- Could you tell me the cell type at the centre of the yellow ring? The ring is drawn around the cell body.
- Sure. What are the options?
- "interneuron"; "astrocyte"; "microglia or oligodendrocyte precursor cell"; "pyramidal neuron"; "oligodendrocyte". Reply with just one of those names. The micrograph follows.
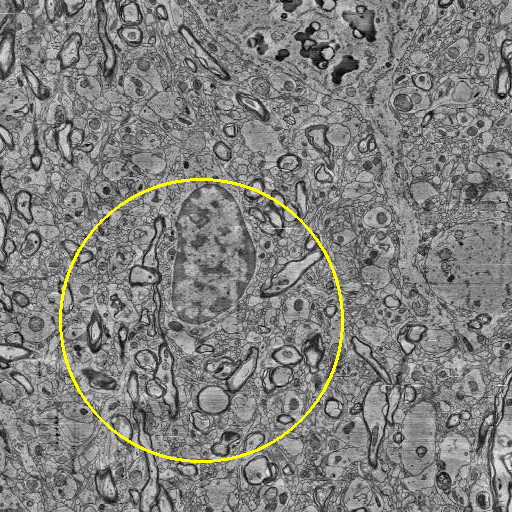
microglia or oligodendrocyte precursor cell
